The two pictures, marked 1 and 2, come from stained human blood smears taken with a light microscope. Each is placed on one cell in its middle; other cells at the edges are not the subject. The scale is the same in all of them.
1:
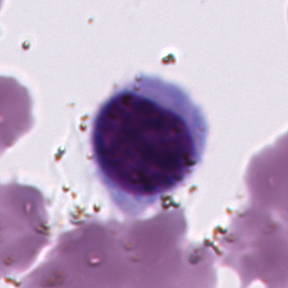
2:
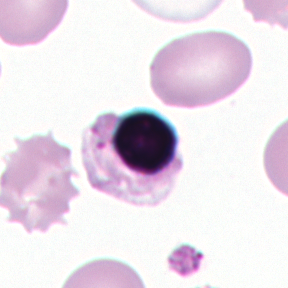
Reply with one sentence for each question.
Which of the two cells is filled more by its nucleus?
The nucleus fills more of the cell in crop 1 than in crop 2.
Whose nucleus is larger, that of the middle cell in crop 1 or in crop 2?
Larger is the nucleus in crop 1, at roughly 3 times the area of the other.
